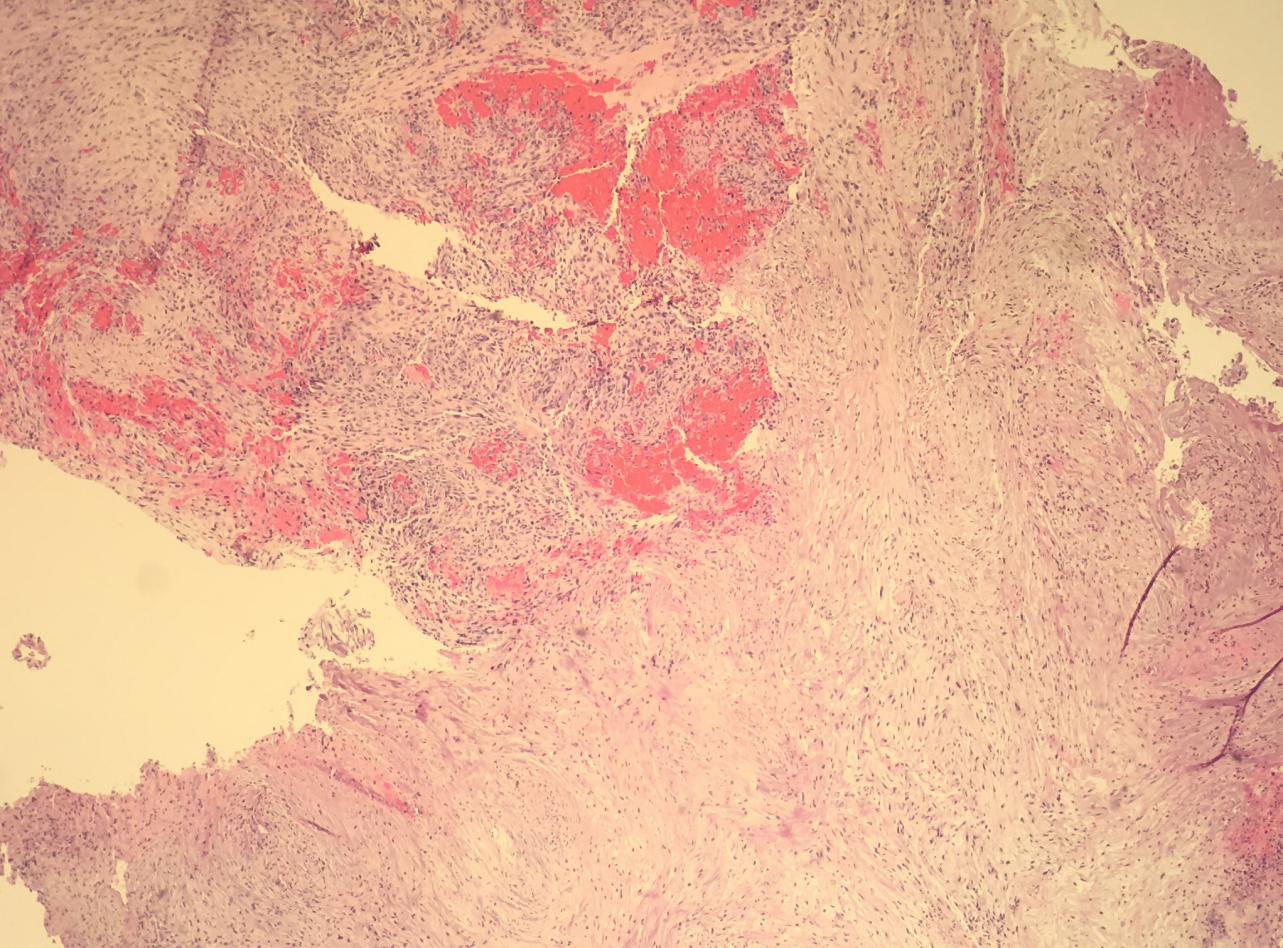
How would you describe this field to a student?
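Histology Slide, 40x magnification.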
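This low-power section shows two distinct tumour patterns. In the upper left, a hypercellular region of plumper, epithelioid cells is crowded with dark nuclei and interspersed with pools of red blood cells. It gives way fairly abruptly to a paler, sparser proliferation of elongated spindle cells arranged in long sweeping fascicles in the lower right.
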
